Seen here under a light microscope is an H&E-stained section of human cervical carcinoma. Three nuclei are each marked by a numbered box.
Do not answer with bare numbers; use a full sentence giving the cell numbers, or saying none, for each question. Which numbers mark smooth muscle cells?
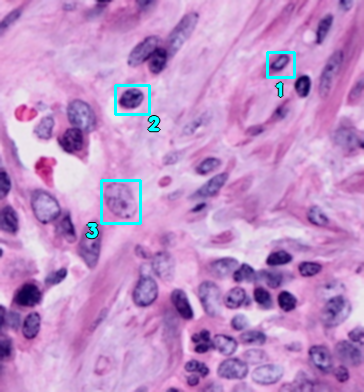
It is only cell 1 that is a smooth muscle cell among the numbered cells.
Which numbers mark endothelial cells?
No marked cell except number 3 is an endothelial cell.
